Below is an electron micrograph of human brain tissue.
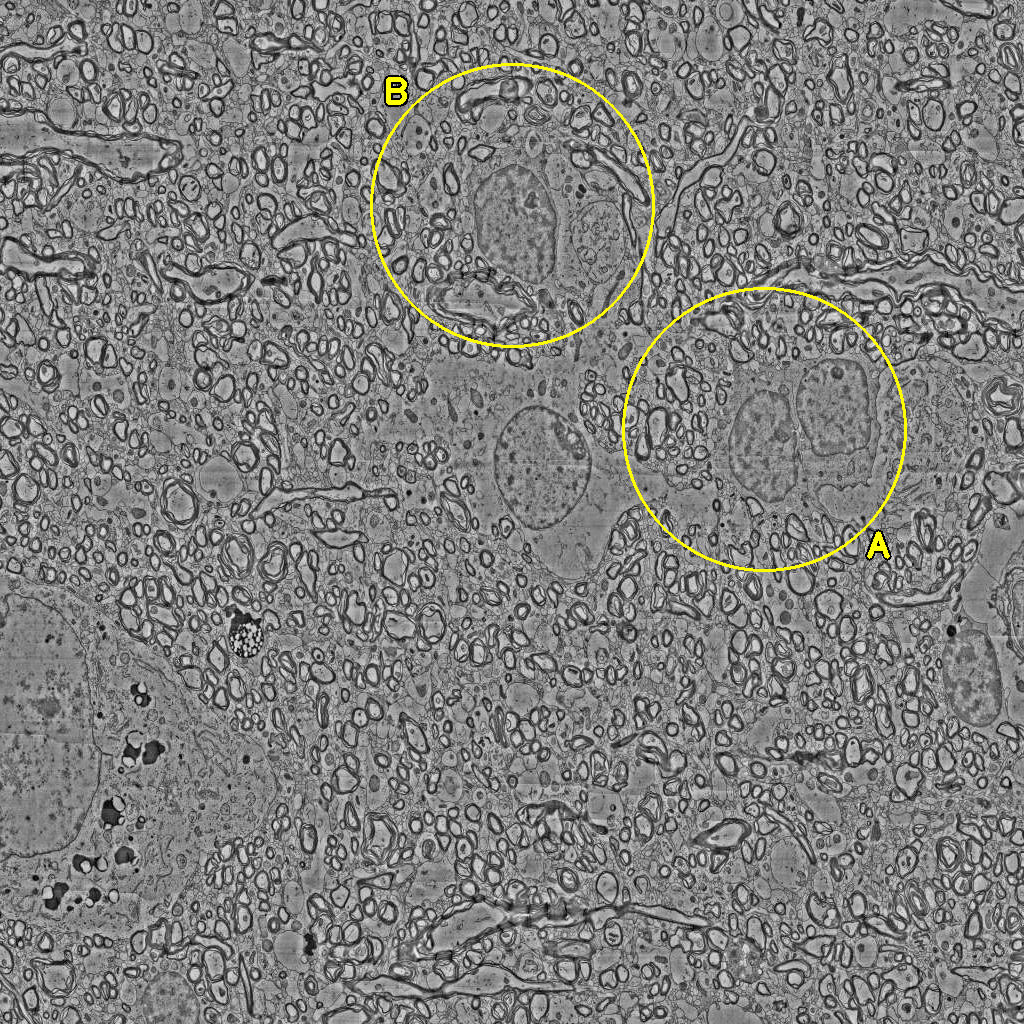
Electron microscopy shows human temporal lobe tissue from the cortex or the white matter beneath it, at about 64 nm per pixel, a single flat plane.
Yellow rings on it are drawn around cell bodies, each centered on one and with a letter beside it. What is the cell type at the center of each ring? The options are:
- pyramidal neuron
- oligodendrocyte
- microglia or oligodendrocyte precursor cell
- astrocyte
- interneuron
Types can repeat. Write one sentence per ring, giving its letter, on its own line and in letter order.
At the center of ring A is an oligodendrocyte.
At the center of ring B is an oligodendrocyte.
